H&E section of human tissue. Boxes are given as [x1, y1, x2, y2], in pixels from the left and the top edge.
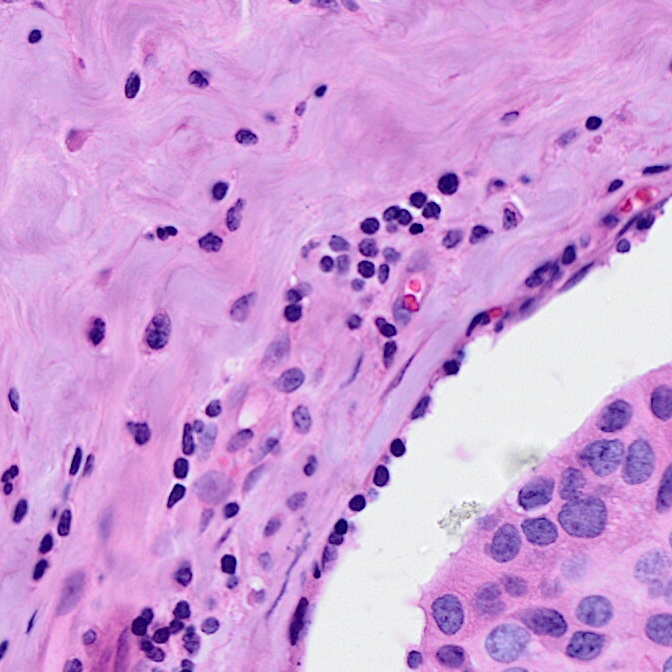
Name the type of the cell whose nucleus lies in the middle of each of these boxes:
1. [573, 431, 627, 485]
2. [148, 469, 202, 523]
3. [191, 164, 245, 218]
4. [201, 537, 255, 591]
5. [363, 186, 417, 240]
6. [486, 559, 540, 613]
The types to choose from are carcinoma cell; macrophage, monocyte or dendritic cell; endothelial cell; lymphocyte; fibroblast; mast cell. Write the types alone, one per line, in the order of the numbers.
carcinoma cell
lymphocyte
lymphocyte
lymphocyte
lymphocyte
carcinoma cell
